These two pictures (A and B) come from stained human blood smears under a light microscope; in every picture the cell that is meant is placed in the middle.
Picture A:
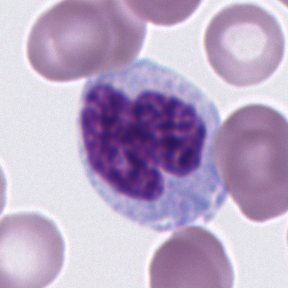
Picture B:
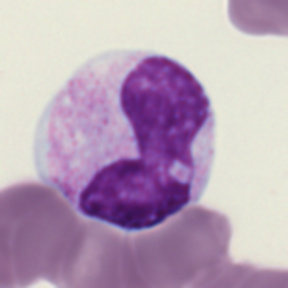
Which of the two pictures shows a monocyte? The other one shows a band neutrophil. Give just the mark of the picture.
A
